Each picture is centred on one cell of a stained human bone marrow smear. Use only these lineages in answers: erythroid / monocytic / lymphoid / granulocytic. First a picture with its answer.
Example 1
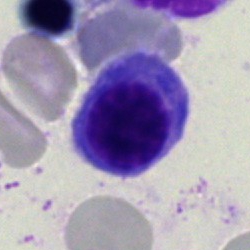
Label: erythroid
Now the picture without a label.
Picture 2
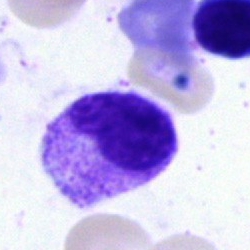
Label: granulocytic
